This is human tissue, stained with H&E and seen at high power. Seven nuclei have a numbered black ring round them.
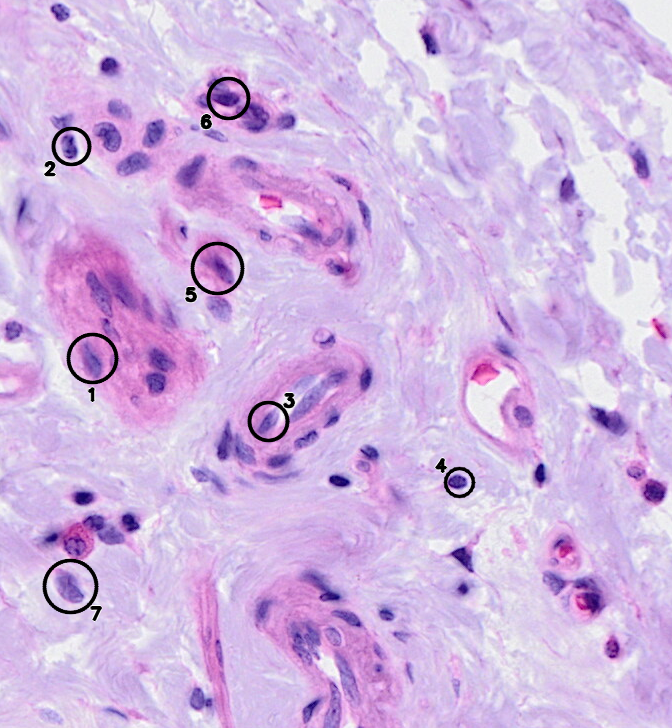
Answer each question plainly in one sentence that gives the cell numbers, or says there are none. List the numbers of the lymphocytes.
The cells to which the numbers 2 and 4 refer are lymphocytes.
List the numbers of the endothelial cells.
The cells whose numbers are 3 and 6 are endothelial cells.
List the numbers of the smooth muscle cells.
The cells numbered 1 and 5 are typed as smooth muscle cells.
